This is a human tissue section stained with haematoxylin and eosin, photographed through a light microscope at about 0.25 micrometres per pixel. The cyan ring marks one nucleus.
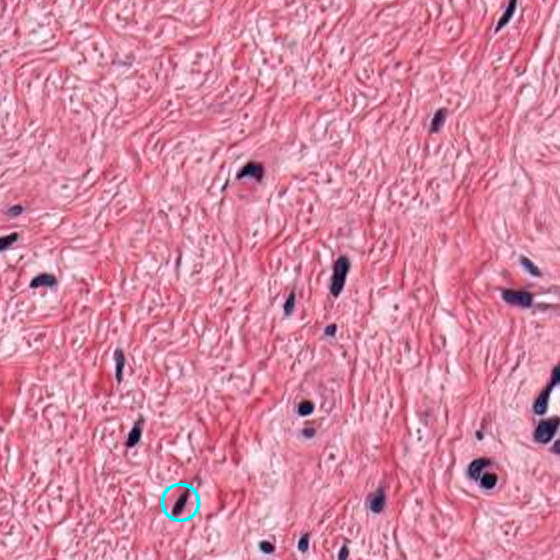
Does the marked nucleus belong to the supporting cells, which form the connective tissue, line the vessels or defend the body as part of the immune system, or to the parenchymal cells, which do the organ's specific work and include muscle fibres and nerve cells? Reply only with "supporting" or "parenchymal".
supporting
